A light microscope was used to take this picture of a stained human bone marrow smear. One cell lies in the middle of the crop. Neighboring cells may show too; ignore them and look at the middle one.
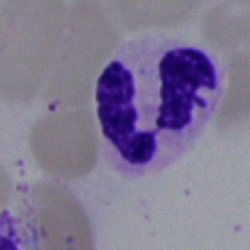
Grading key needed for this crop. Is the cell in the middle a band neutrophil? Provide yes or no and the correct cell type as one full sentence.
No, what lies at the heart of the crop is a segmented neutrophil, not a band neutrophil.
